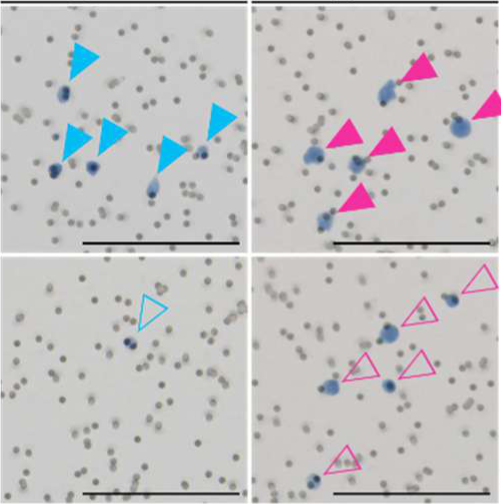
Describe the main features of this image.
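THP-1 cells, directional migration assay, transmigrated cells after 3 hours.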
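The cells are rounded to slightly elongated, larger than the pores, with darker blue nuclei and paler blue cytoplasm. Cells are sparse and lie singly, not in clusters. One field contains only a single cell, while the others contain several.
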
